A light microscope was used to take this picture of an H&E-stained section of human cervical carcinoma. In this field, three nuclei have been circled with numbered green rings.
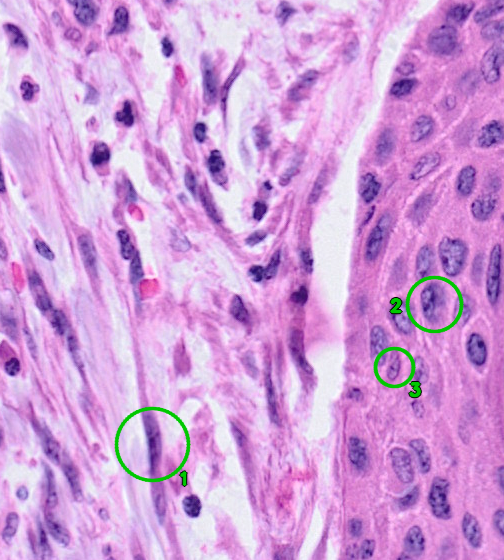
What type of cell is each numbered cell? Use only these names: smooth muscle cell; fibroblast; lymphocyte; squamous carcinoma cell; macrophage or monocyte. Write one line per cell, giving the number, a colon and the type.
1: fibroblast
2: squamous carcinoma cell
3: squamous carcinoma cell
